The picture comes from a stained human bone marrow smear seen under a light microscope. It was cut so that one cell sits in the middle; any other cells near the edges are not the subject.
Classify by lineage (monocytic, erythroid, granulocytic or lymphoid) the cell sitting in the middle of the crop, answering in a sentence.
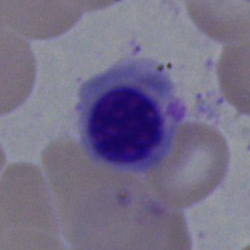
The lineage to which the central cell belongs is erythroid.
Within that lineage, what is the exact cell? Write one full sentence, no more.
Whatever else lies nearby, the middle cell is an erythroblast.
